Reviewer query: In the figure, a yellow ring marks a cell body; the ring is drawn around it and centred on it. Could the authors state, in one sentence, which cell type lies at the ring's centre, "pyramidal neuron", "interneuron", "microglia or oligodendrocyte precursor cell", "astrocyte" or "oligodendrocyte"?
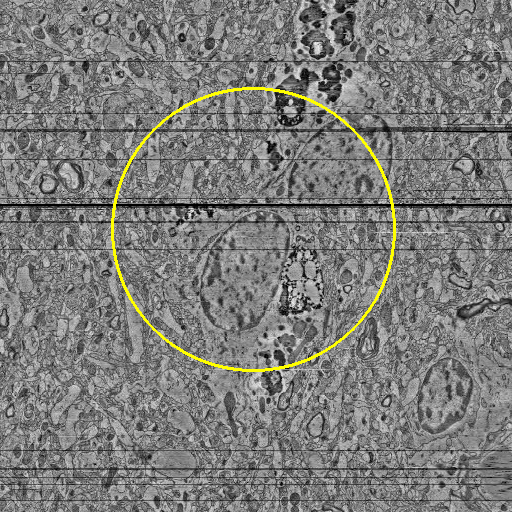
The ring is centred on an astrocyte.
